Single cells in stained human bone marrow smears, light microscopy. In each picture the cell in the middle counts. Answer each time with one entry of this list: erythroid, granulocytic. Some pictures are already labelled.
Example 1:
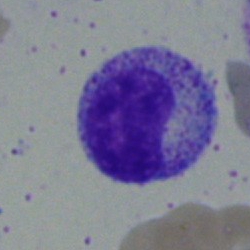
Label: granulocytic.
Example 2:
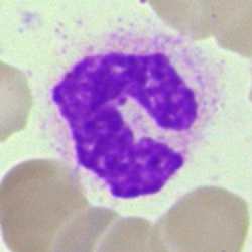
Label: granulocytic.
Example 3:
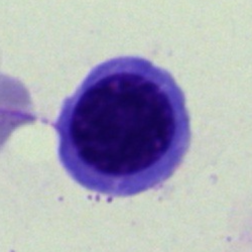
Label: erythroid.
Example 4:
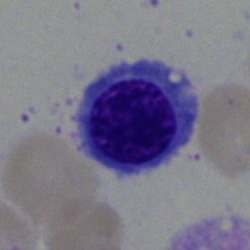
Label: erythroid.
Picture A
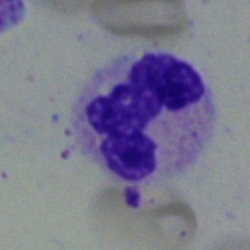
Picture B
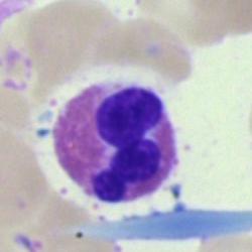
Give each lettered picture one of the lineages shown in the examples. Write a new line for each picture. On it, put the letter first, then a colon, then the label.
A: granulocytic.
B: granulocytic.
